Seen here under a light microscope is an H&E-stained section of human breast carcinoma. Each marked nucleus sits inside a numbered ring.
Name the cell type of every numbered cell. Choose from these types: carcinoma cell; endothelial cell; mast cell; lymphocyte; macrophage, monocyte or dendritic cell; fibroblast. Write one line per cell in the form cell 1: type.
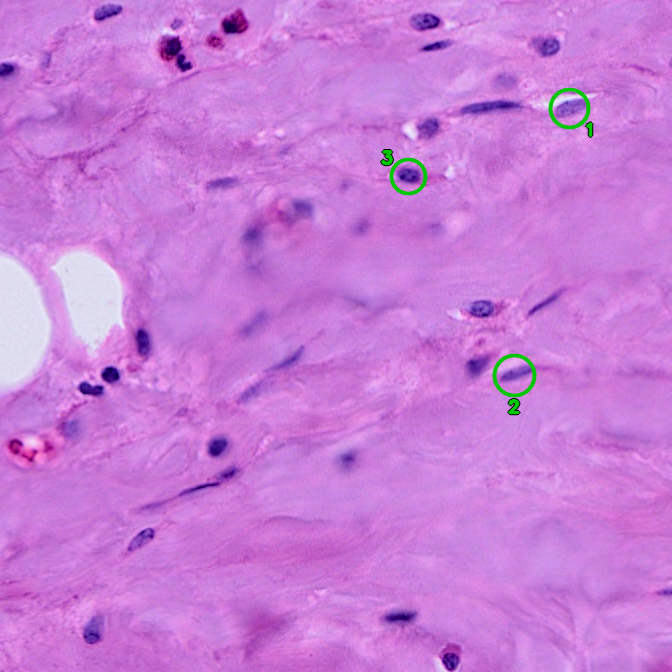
cell 1: fibroblast
cell 2: fibroblast
cell 3: mast cell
